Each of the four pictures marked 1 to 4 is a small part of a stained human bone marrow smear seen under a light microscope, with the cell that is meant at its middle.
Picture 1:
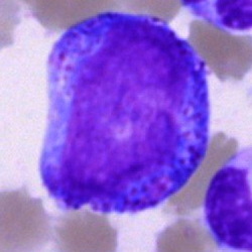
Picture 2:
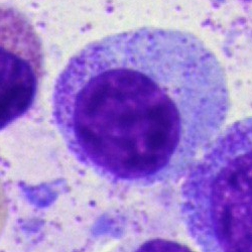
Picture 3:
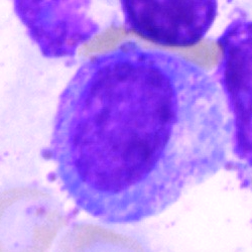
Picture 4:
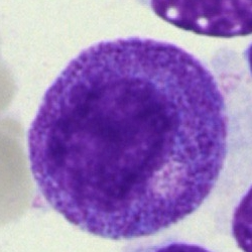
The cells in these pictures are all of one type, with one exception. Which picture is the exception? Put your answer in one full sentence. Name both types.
Unlike the rest, which show promyelocytes, picture 2 shows a myelocyte.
